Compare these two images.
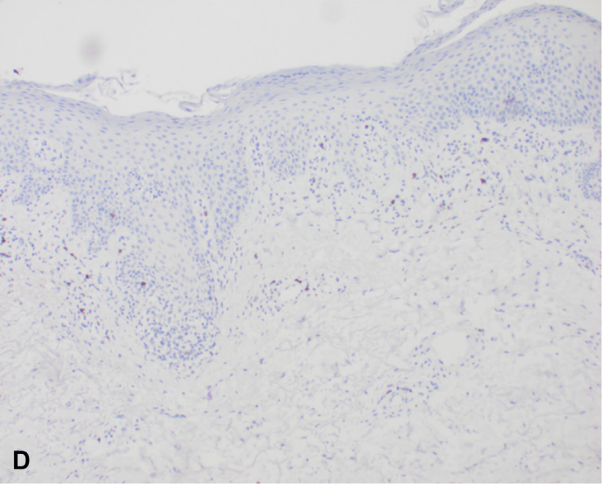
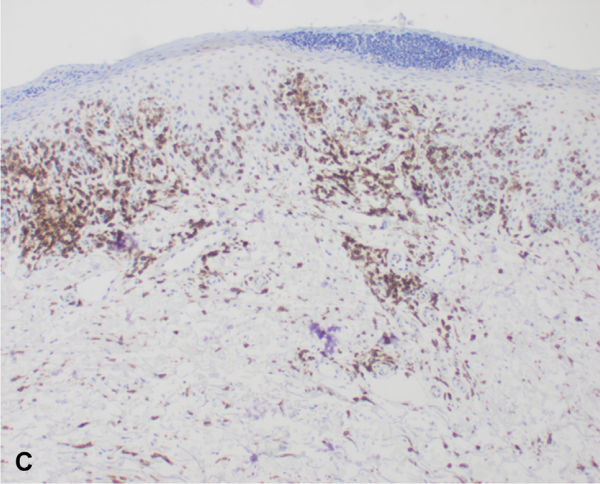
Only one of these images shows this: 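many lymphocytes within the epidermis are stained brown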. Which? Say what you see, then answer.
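First image: the epidermis and dermis are almost entirely blue, with hardly any brown cells. Second image: dense clusters of brown cells fill the lower epidermis and upper dermis. That points to this answer: the second image.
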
